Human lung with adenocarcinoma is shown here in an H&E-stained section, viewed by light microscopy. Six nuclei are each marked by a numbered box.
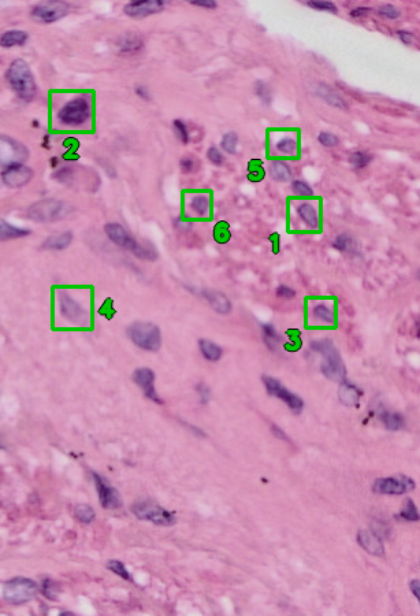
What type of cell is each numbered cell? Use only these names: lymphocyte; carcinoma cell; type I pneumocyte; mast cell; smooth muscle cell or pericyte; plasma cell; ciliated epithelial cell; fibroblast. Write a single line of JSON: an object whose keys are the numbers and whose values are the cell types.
{"1": "smooth muscle cell or pericyte", "2": "plasma cell", "3": "smooth muscle cell or pericyte", "4": "fibroblast", "5": "smooth muscle cell or pericyte", "6": "smooth muscle cell or pericyte"}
